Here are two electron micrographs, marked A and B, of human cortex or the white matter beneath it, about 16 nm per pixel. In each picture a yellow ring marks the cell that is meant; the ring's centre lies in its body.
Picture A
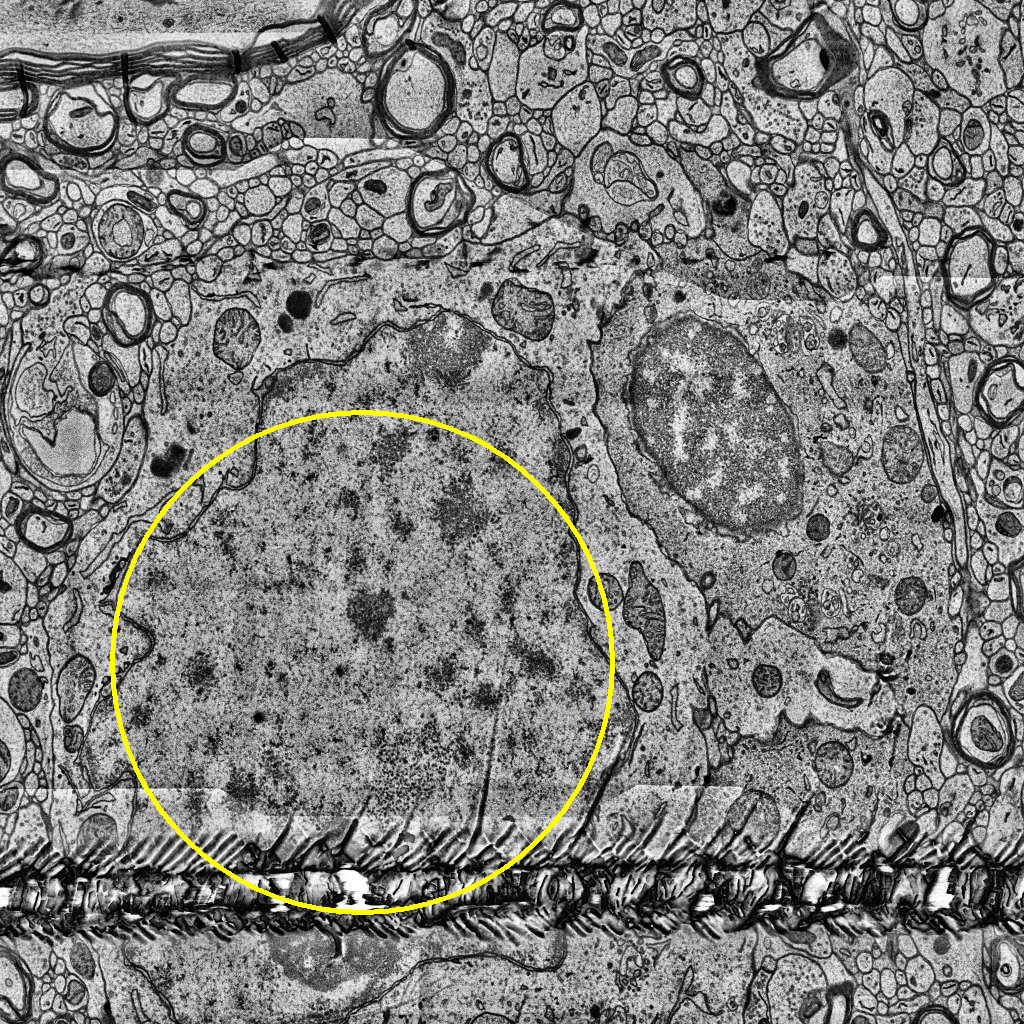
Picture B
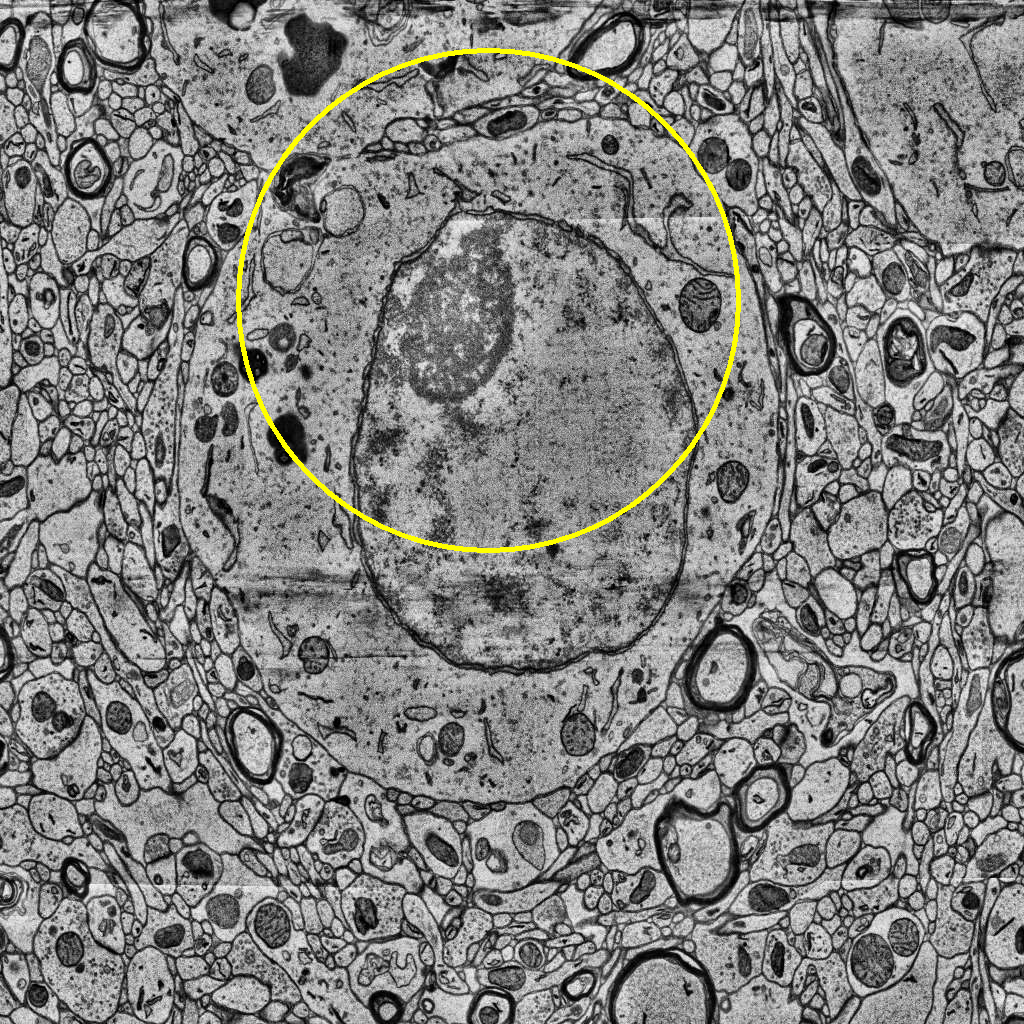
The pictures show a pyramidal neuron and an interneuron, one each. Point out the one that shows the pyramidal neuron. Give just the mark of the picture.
B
